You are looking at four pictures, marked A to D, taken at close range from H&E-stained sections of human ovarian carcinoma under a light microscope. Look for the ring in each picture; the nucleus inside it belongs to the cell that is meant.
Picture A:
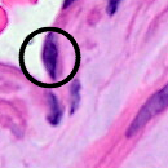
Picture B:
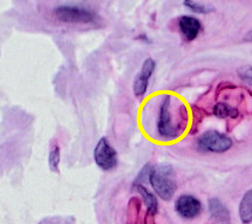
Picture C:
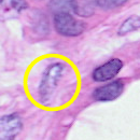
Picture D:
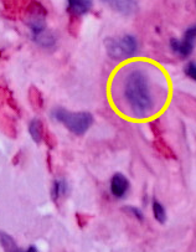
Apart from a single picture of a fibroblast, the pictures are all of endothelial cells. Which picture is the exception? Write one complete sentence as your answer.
Picture C is the one that shows the fibroblast.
